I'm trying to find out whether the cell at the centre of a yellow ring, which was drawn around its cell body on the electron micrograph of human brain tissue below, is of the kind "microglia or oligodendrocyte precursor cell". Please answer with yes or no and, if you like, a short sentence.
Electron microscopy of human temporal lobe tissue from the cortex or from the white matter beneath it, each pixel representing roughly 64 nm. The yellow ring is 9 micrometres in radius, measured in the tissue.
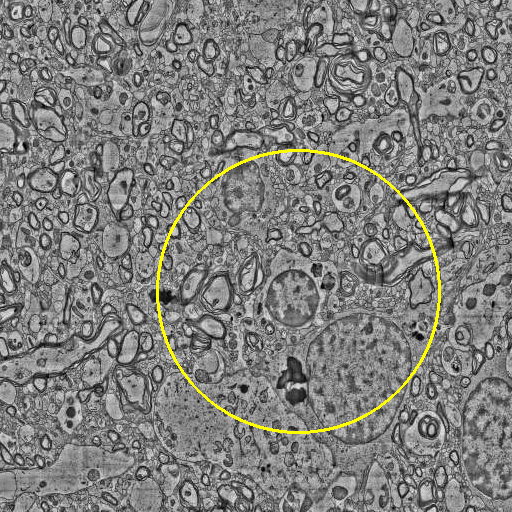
Yes, that cell is of the given kind.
